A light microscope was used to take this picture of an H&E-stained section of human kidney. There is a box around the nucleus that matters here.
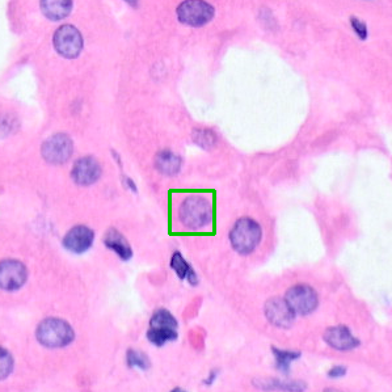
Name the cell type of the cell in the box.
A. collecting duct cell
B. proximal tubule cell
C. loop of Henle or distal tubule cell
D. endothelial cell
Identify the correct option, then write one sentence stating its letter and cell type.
Option B is right, and the cell in the box is a proximal tubule cell.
